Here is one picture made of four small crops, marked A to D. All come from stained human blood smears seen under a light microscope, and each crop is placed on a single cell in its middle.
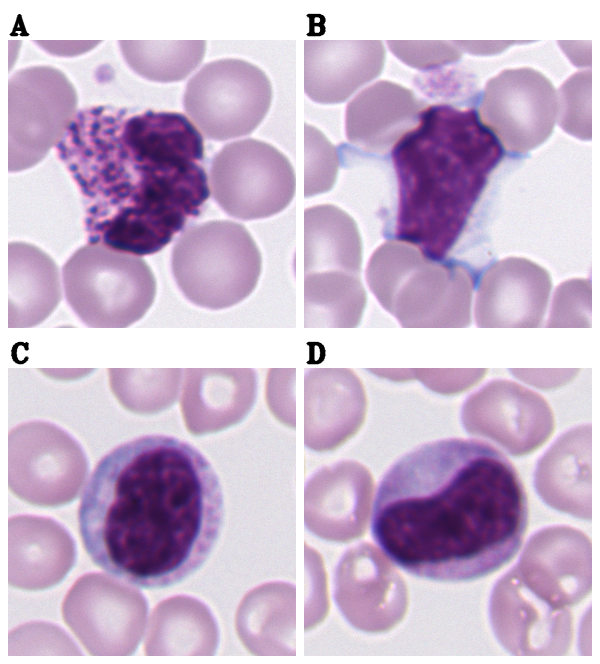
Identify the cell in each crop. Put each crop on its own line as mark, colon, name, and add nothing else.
A: basophil
B: large granular lymphocyte
C: metamyelocyte
D: metamyelocyte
